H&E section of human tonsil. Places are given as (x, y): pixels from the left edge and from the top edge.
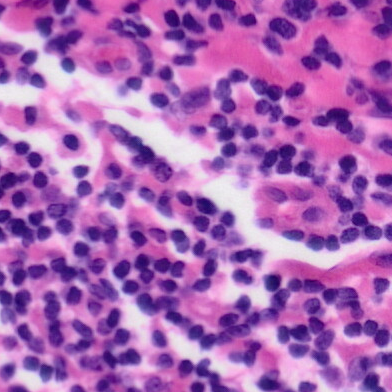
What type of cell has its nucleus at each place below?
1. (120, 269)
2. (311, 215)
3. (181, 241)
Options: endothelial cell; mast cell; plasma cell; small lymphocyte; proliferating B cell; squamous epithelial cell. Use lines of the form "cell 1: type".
cell 1: small lymphocyte
cell 2: endothelial cell
cell 3: small lymphocyte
